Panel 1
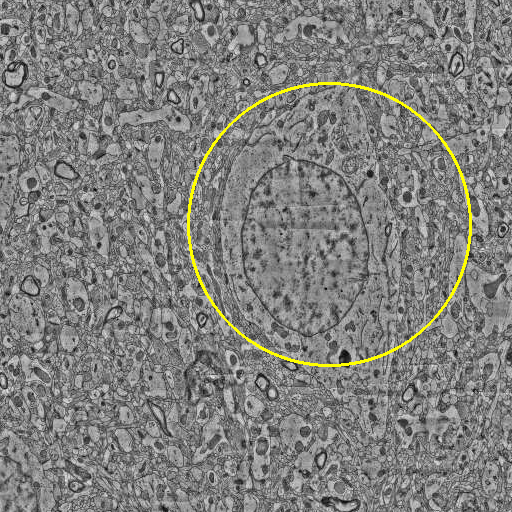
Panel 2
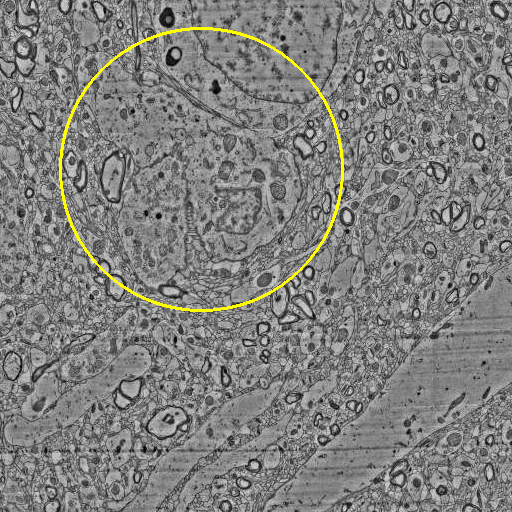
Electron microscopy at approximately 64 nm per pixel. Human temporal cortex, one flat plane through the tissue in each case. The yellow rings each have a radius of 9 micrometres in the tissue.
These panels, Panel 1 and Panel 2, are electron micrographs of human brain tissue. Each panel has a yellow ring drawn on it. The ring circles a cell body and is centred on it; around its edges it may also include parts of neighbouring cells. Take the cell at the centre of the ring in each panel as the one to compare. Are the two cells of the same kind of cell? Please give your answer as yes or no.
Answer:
yes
